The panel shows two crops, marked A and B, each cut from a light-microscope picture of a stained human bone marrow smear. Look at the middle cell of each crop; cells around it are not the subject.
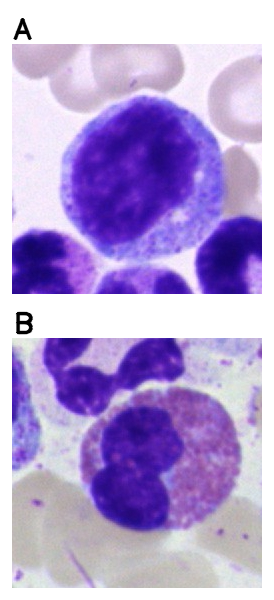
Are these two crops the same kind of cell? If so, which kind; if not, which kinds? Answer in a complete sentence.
No, crop A contains a promyelocyte, and crop B contains an eosinophil.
